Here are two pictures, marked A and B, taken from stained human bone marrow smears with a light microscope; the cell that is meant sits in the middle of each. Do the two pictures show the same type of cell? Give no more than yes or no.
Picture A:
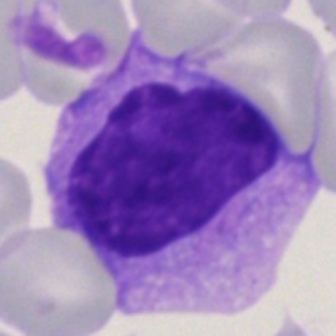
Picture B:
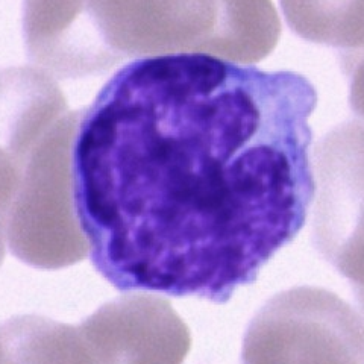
yes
